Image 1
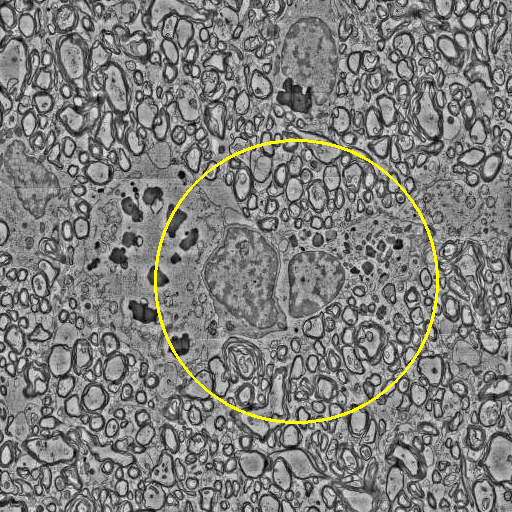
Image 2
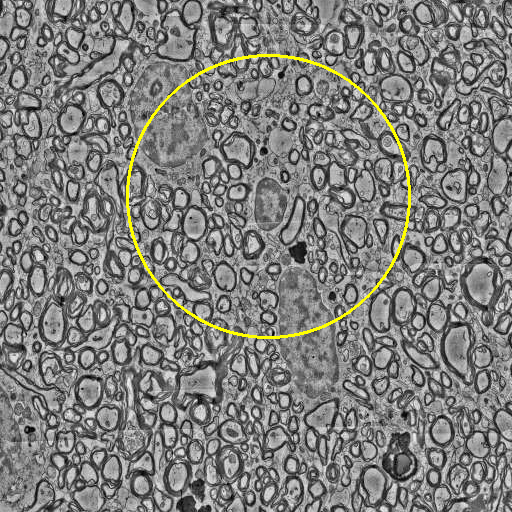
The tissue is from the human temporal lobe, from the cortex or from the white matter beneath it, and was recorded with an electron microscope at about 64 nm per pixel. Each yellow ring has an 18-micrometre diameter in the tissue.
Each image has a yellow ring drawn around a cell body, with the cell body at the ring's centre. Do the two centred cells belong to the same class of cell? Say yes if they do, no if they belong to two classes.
yes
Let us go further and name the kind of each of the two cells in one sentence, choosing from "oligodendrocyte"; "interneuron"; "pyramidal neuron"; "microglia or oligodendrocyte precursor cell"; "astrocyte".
Each of the two cells is a microglial cell or oligodendrocyte precursor cell.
